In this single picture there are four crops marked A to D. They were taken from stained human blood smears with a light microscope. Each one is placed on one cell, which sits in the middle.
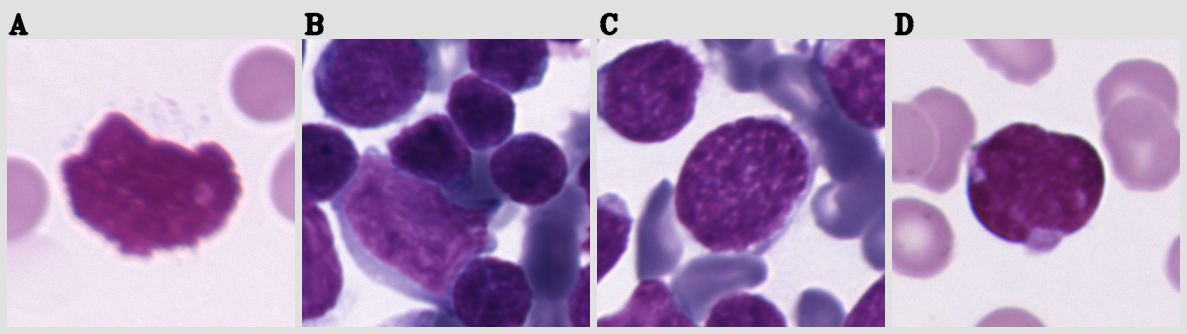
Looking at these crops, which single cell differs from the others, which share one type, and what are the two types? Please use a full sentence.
Crop A is the odd one out, being a smudge cell, while all the other crops show myeloblasts.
